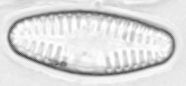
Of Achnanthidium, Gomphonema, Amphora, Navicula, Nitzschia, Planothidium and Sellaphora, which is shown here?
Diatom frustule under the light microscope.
Planothidium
